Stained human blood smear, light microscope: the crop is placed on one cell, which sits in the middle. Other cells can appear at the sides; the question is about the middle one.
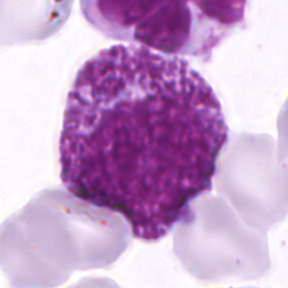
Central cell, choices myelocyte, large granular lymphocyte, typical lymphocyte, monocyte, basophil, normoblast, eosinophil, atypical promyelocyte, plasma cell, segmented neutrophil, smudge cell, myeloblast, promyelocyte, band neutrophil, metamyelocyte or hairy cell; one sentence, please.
Of the cells in this crop, the central one is a myelocyte.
